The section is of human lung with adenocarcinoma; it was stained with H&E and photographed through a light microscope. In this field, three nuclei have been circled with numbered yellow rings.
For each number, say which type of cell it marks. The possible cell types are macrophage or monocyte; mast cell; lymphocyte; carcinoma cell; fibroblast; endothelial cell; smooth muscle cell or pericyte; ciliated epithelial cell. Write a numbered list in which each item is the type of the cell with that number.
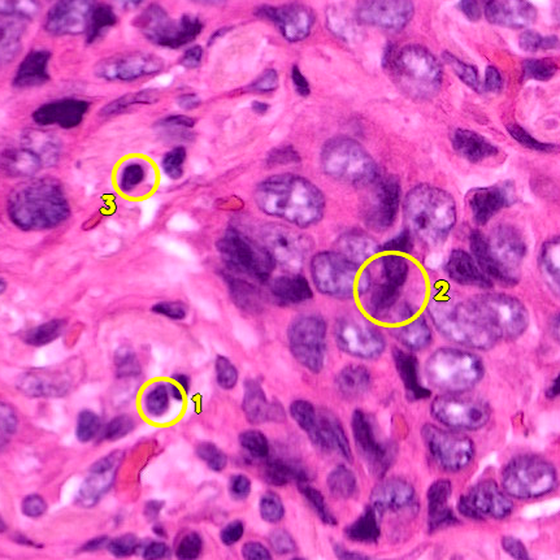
1. lymphocyte
2. carcinoma cell
3. lymphocyte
